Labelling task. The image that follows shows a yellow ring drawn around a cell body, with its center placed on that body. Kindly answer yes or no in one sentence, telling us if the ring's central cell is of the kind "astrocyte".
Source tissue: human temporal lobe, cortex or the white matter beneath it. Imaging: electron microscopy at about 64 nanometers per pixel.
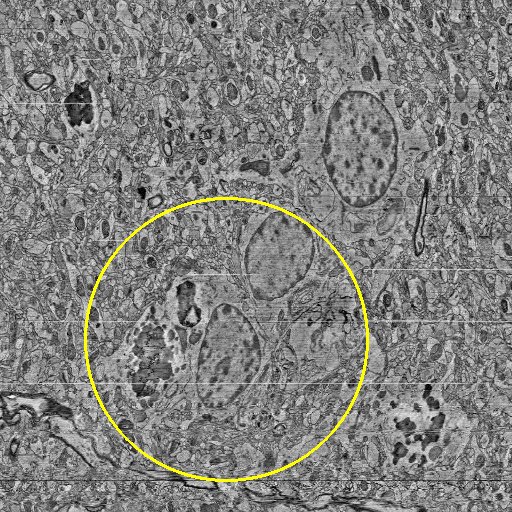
Yes, in this image the cell at the ring's center is of that kind.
